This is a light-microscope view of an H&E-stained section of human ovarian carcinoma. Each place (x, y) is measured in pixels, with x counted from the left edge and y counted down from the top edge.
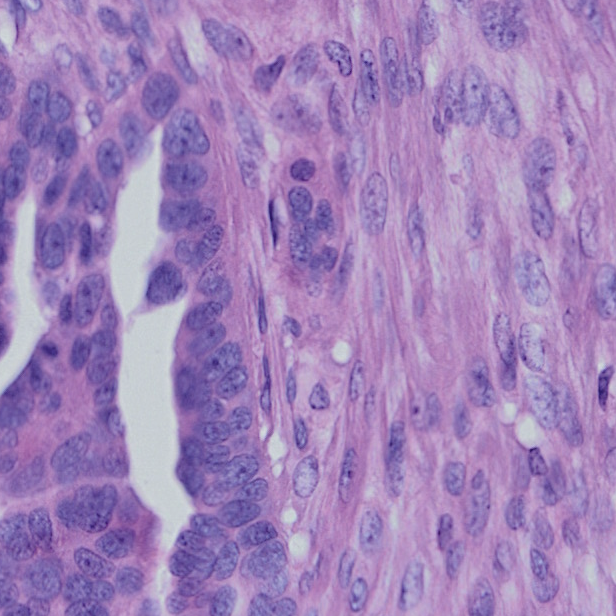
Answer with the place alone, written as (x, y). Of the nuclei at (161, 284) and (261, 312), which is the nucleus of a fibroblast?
(261, 312)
